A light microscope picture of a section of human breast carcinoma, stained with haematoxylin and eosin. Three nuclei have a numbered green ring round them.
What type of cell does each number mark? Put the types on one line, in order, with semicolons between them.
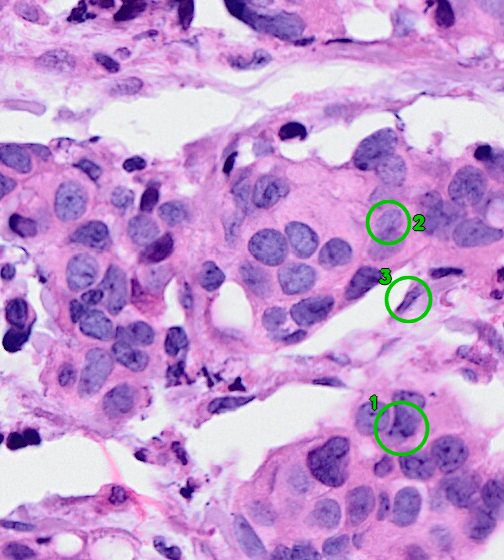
carcinoma cell; carcinoma cell; fibroblast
